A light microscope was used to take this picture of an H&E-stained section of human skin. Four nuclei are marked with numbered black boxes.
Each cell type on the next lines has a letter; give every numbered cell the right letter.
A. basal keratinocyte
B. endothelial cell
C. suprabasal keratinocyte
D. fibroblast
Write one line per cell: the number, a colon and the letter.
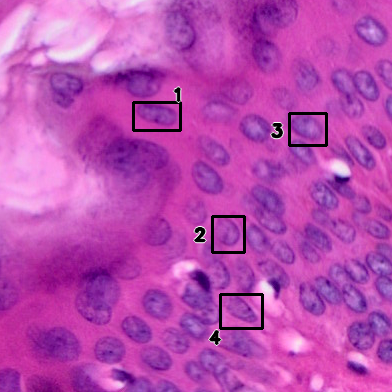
1: C
2: C
3: C
4: A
